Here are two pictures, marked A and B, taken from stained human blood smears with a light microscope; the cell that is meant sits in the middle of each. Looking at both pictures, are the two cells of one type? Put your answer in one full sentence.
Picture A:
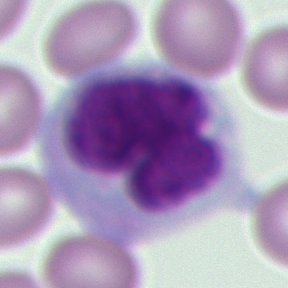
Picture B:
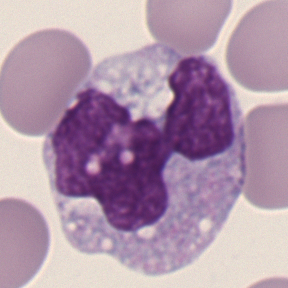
Yes, the two pictures both show monocytes.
